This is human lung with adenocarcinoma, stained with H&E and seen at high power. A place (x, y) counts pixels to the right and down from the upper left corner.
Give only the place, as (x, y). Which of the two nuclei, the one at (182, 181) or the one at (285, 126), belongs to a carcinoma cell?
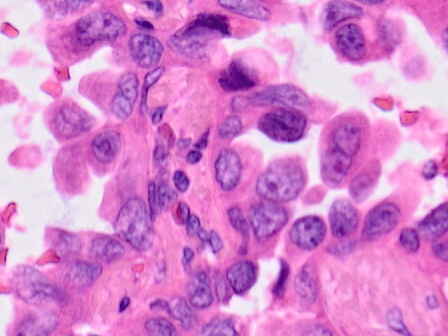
(285, 126)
